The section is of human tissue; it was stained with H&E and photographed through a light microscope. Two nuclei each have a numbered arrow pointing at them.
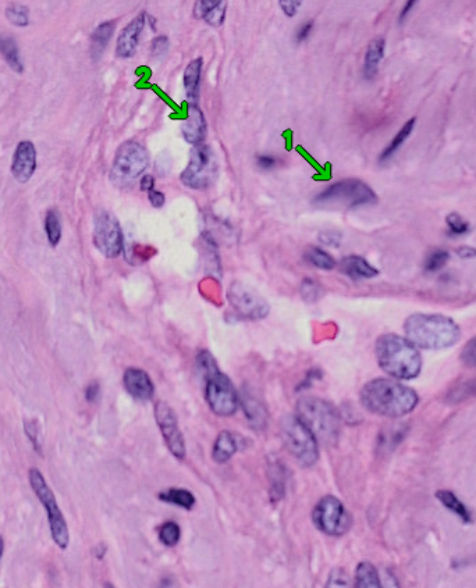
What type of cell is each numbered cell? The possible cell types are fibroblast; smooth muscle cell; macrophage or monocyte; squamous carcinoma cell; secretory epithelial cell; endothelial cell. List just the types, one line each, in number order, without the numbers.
fibroblast
endothelial cell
